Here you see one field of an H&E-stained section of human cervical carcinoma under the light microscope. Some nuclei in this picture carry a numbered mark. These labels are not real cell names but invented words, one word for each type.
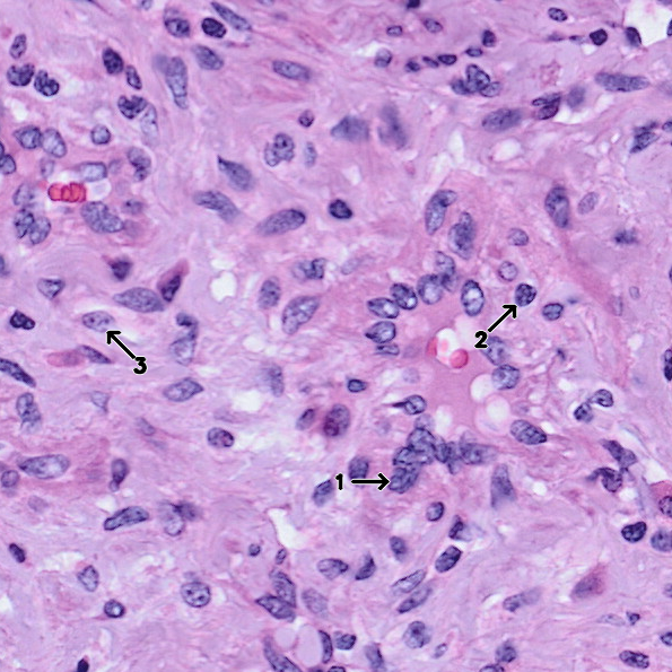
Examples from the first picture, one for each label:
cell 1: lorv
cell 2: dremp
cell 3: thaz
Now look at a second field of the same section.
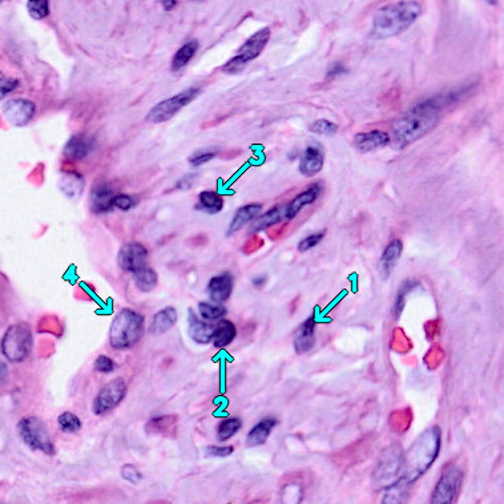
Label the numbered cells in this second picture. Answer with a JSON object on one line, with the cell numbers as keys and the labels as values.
{"1": "thaz", "2": "dremp", "3": "dremp", "4": "lorv"}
